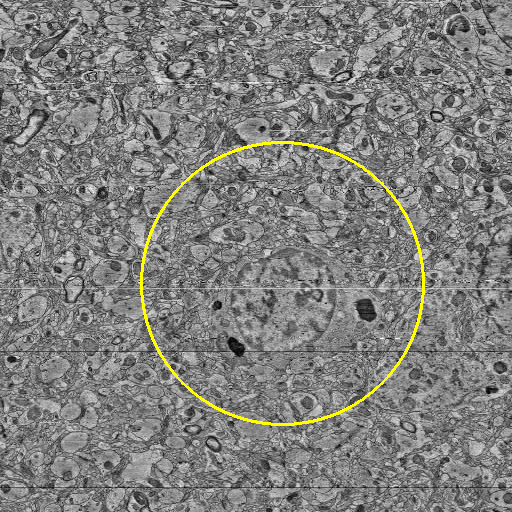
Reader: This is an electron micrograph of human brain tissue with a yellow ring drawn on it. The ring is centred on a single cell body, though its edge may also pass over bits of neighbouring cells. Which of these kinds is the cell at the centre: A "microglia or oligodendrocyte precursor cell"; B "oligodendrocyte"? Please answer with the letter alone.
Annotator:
B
